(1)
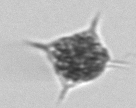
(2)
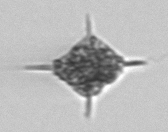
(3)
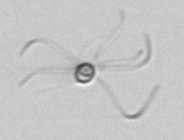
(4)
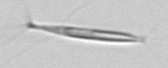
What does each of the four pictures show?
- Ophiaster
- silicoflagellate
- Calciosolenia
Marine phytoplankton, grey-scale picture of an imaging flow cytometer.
1: silicoflagellate
2: silicoflagellate
3: Ophiaster
4: Calciosolenia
